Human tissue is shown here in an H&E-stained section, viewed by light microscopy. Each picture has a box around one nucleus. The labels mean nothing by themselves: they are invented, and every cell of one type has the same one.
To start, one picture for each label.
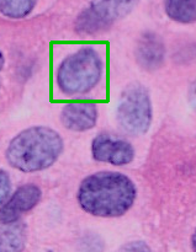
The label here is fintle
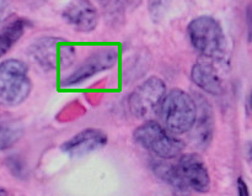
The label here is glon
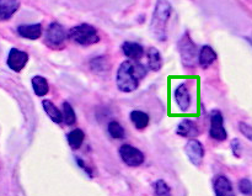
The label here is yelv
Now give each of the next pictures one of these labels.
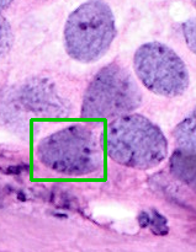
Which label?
fintle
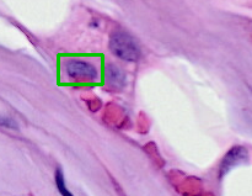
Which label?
glon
